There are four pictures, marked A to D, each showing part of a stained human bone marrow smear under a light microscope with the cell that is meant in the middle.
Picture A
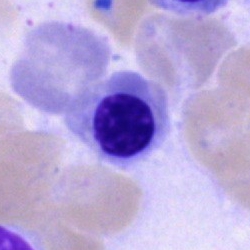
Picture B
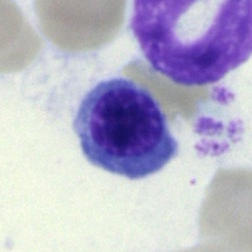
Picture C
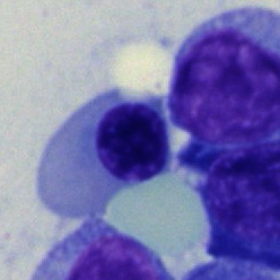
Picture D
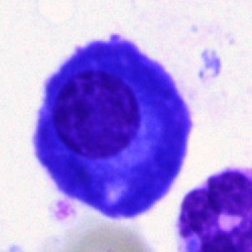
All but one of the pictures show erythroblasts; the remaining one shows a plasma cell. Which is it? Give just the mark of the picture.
D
